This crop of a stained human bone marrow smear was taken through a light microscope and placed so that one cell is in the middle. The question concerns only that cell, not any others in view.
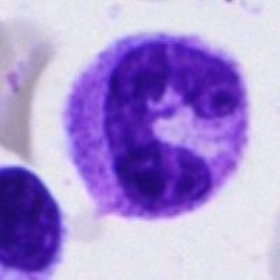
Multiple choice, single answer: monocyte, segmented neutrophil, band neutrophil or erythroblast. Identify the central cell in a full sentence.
Present in the middle of the crop is a band neutrophil.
